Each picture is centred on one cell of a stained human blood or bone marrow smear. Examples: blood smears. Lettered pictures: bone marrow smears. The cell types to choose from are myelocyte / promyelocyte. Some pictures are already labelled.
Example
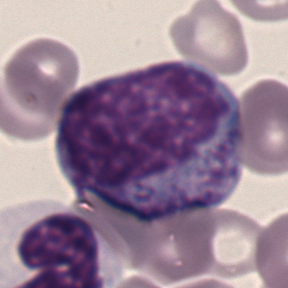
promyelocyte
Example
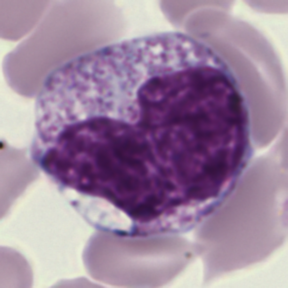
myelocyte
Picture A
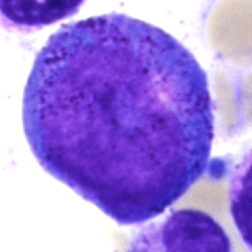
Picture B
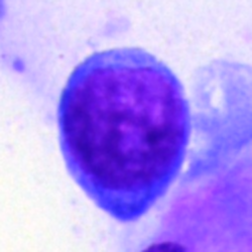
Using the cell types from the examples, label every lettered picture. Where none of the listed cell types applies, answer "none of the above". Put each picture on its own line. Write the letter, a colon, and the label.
A: promyelocyte
B: none of the above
